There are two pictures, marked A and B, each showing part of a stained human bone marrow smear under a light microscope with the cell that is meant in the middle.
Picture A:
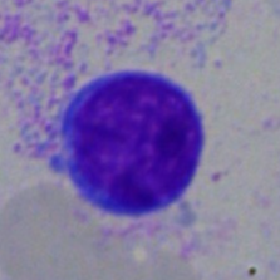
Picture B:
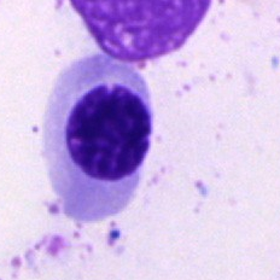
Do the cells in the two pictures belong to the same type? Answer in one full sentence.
No. Picture A shows a lymphocyte, but picture B shows an erythroblast.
